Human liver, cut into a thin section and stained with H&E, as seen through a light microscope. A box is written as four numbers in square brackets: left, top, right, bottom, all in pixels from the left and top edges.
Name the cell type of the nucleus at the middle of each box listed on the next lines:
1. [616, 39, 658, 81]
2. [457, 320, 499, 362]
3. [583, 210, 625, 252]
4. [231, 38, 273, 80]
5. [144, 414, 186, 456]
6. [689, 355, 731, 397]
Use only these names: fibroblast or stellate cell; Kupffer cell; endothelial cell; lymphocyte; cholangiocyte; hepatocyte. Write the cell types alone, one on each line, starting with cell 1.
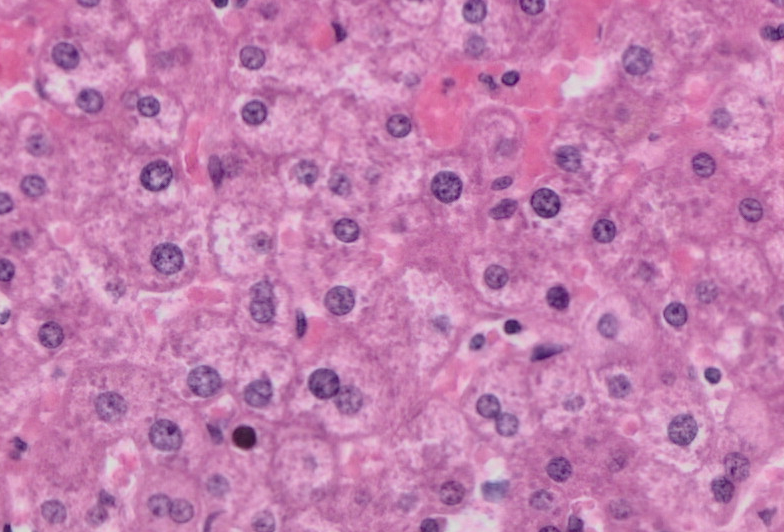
hepatocyte
lymphocyte
hepatocyte
hepatocyte
hepatocyte
lymphocyte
